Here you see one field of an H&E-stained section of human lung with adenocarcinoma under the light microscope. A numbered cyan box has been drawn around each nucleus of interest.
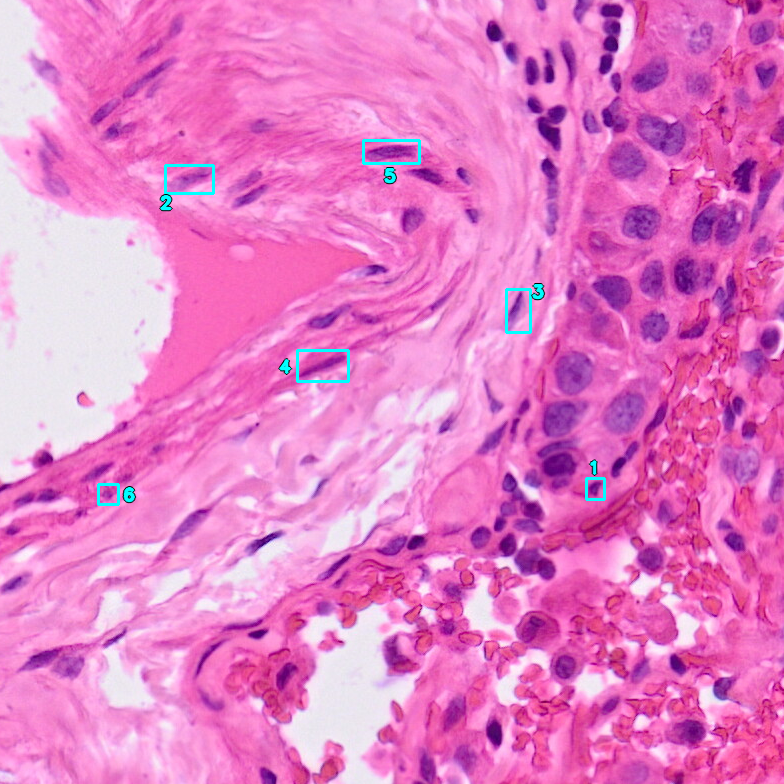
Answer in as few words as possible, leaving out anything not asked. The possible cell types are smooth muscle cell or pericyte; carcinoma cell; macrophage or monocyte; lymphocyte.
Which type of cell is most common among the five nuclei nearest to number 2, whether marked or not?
smooth muscle cell or pericyte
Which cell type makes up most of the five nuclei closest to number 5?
smooth muscle cell or pericyte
